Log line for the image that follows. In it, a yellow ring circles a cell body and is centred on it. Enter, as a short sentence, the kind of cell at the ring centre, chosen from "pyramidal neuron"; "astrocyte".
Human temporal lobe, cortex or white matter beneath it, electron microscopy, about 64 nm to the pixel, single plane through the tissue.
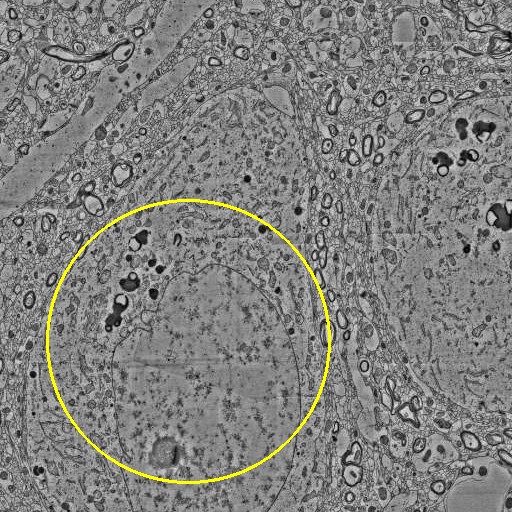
The ring centre is occupied by a pyramidal neuron.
